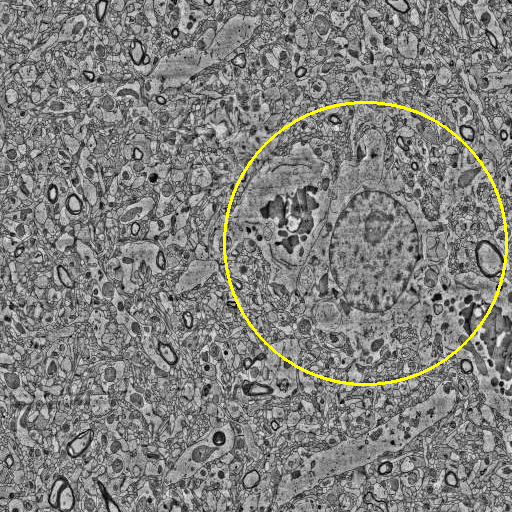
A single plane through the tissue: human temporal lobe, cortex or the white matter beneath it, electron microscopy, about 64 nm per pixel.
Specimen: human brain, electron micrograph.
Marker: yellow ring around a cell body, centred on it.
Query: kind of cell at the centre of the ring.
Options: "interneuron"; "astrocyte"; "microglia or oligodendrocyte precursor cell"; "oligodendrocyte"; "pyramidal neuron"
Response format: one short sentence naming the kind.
This cell body belongs to an astrocyte.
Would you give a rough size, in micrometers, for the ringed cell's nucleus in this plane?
In this plane the nucleus is about 8 micrometres by 6.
